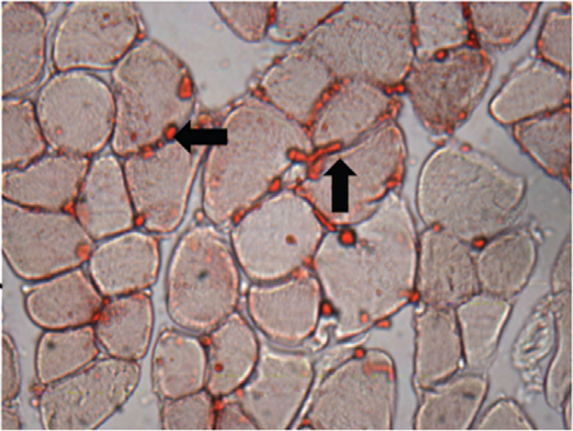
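Rounded cross-sectioned muscle fibers are packed together, with bright red fat droplets lying in the spaces between and along the borders of the fibers. The fibers themselves are pale with a faint reddish tint.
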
